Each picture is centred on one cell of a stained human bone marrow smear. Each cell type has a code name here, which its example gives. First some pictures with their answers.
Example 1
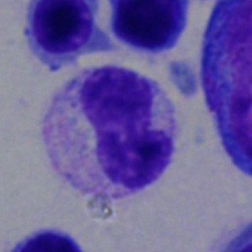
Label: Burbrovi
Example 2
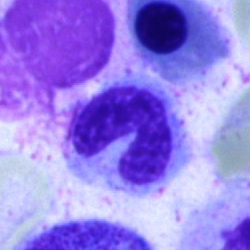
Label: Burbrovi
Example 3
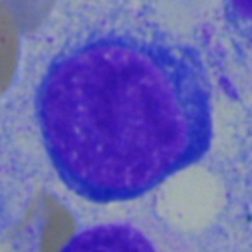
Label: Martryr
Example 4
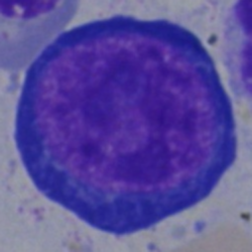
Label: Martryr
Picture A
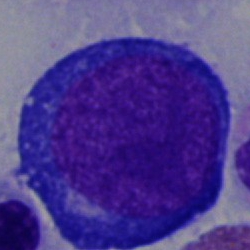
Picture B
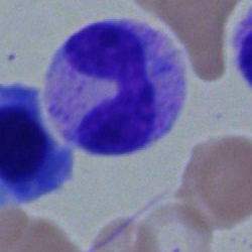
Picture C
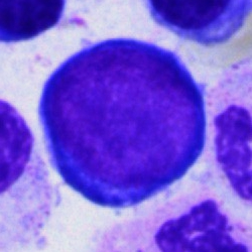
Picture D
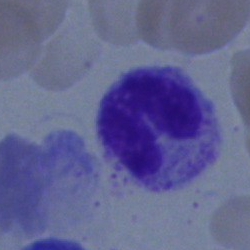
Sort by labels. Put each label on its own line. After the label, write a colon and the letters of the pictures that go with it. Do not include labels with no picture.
Burbrovi: B, D
Martryr: A, C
